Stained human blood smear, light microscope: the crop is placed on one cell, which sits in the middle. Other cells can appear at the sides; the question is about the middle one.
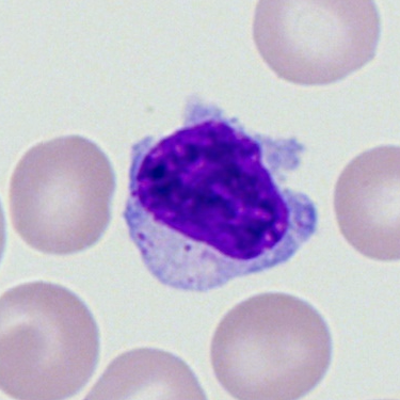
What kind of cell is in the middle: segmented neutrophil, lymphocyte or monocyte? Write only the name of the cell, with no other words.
lymphocyte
